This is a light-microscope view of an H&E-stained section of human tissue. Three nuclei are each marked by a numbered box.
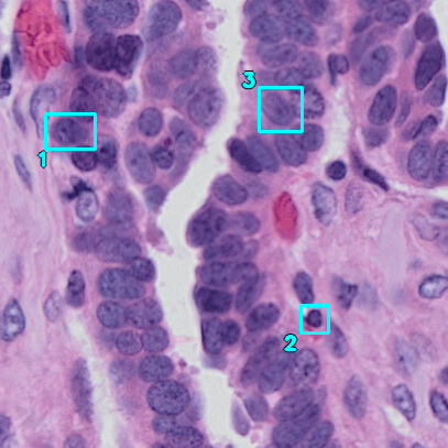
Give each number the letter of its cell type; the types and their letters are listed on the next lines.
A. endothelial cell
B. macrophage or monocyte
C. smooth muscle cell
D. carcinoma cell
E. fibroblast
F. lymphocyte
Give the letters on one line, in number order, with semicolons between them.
D; F; D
